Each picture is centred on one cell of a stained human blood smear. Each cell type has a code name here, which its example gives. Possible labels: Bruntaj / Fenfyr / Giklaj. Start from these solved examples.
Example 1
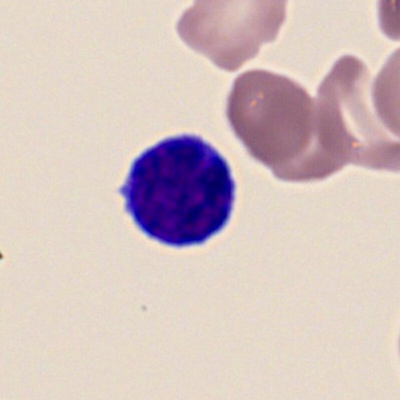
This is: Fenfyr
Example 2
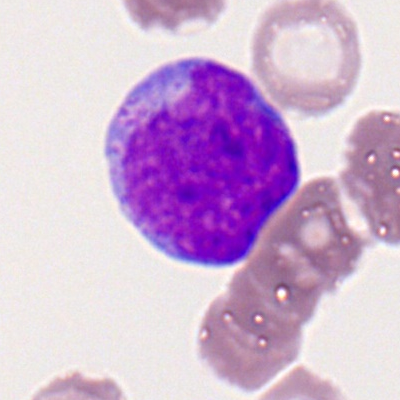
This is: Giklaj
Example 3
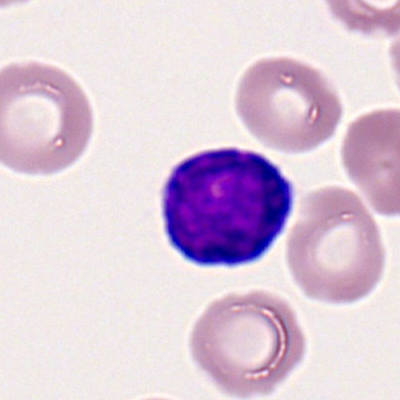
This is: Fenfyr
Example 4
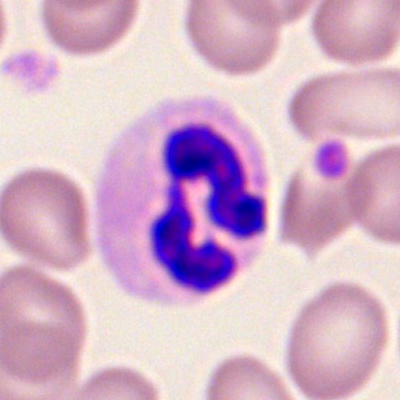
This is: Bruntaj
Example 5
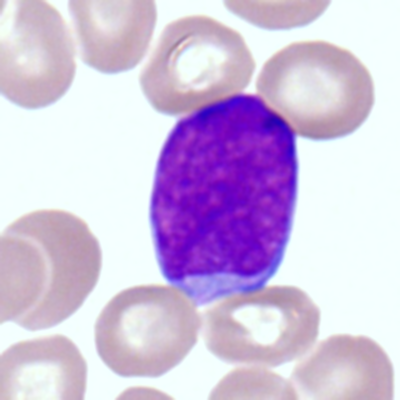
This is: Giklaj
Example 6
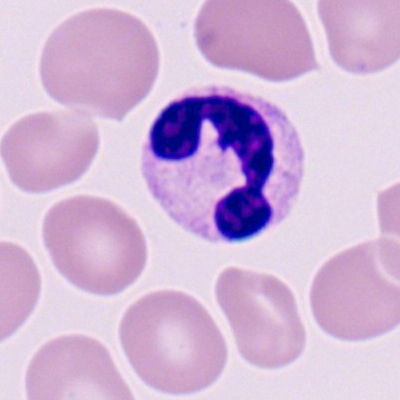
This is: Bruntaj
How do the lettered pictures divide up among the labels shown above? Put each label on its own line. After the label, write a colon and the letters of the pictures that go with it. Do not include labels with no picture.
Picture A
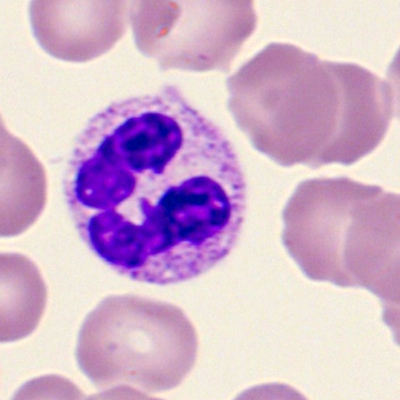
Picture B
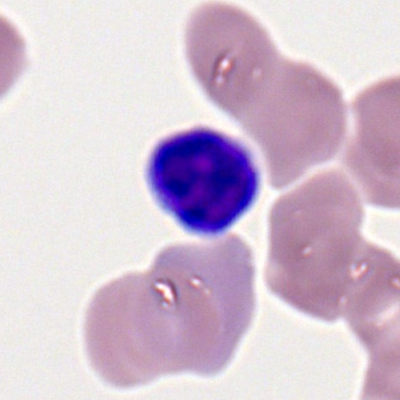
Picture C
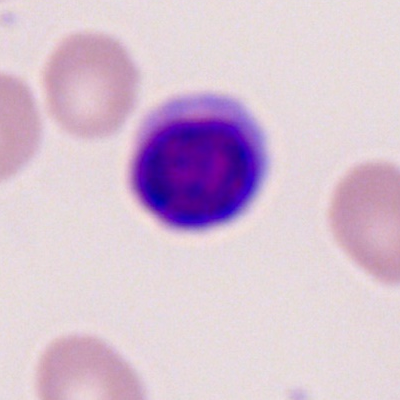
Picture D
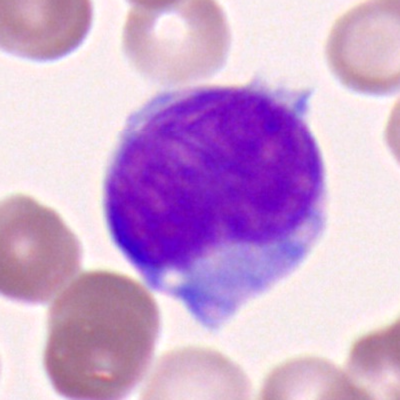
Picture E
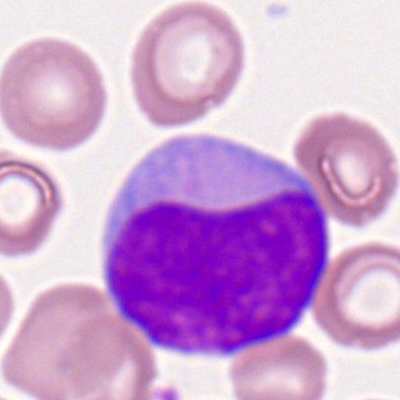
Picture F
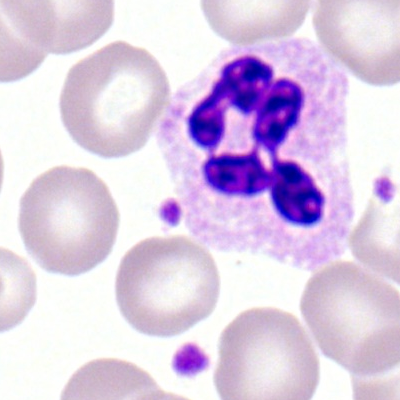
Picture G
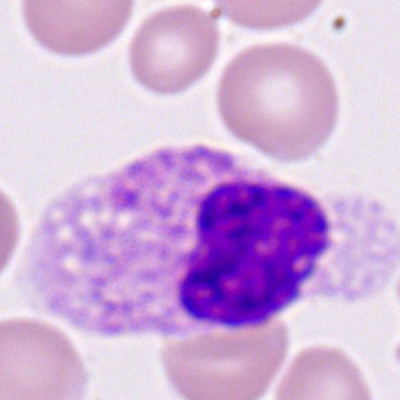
Bruntaj: A, F, G
Fenfyr: B, C
Giklaj: D, E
